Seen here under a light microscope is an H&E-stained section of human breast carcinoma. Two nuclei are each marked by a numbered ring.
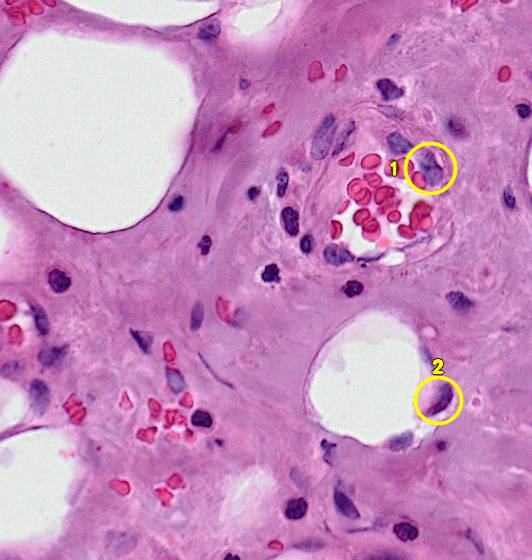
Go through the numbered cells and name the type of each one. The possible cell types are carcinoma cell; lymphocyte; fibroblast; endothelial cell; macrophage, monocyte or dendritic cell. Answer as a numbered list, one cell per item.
1. endothelial cell
2. fibroblast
